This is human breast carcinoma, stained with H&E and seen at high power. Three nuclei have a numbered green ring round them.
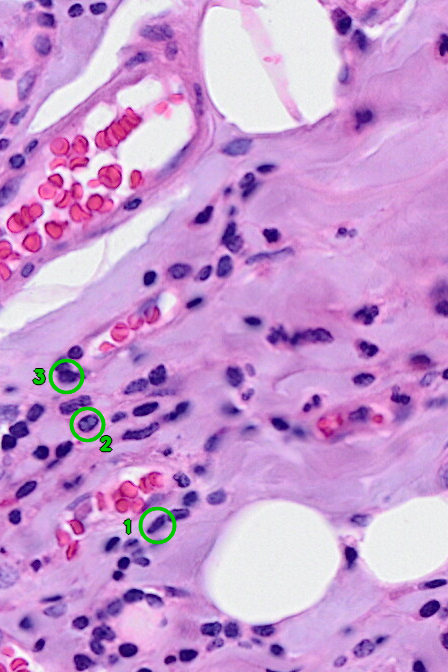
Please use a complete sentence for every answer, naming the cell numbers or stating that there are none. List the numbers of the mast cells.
With the exception of cell 2, no marked cell is a mast cell.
